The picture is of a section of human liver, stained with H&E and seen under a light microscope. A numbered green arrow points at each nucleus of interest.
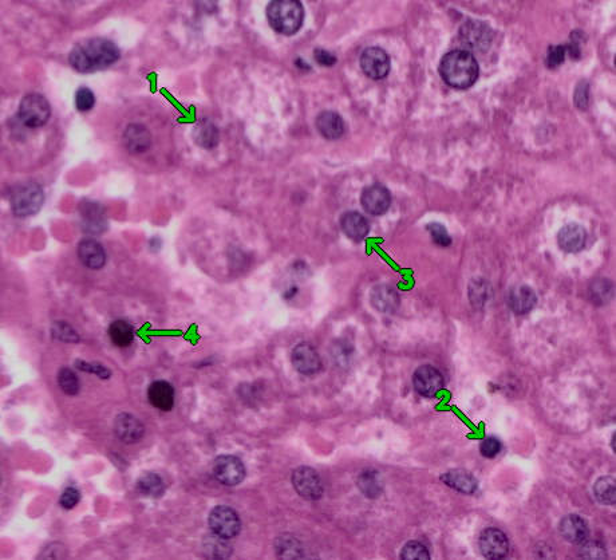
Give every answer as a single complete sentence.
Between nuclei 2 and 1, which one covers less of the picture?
Number 2 is smaller, since number 1 takes up about 2 times as much area.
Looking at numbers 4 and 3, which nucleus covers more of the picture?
The larger nucleus is 3, at roughly 1.5 times the area of 4.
